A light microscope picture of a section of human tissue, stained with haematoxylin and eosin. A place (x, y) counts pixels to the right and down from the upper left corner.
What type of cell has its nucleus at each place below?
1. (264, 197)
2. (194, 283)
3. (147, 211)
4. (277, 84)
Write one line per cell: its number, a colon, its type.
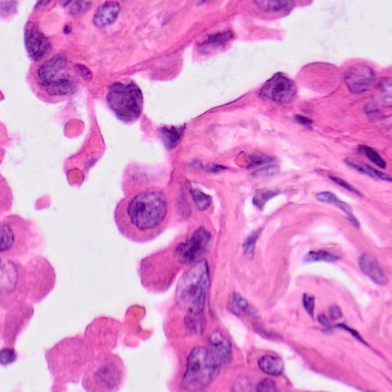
1: fibroblast
2: carcinoma cell
3: carcinoma cell
4: carcinoma cell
